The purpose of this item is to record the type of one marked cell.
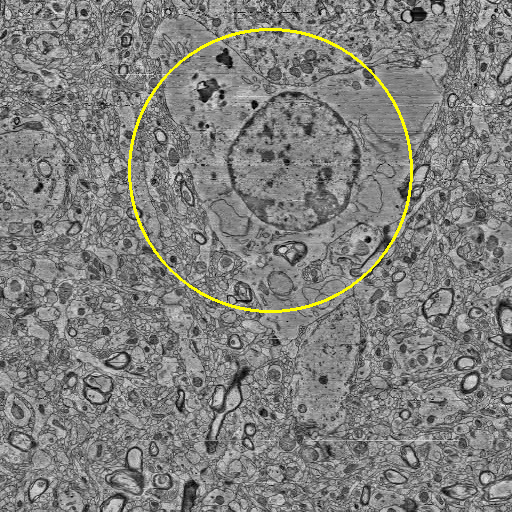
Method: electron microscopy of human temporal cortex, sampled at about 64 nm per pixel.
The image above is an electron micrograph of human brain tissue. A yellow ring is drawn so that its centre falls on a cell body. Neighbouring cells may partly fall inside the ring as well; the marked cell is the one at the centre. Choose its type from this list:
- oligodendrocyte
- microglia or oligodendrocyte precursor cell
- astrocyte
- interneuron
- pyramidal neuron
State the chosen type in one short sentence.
What the ring marks here is an astrocyte.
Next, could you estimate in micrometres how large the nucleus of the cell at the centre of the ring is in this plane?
About 9 micrometres across in this plane, for the nucleus.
